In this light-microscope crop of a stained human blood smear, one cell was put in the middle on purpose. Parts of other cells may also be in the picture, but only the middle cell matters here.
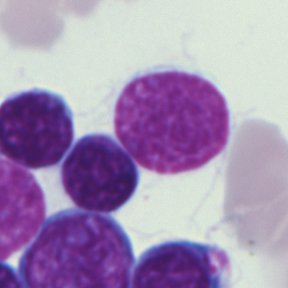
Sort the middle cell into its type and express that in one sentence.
This crop is built around a myeloblast at its centre.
